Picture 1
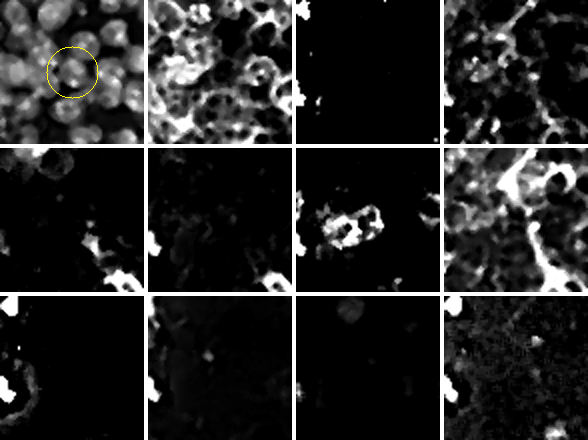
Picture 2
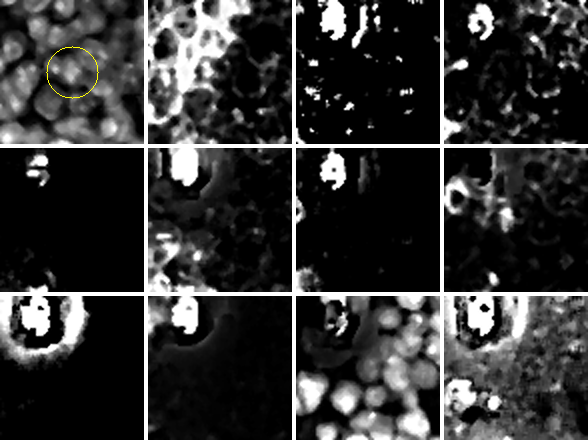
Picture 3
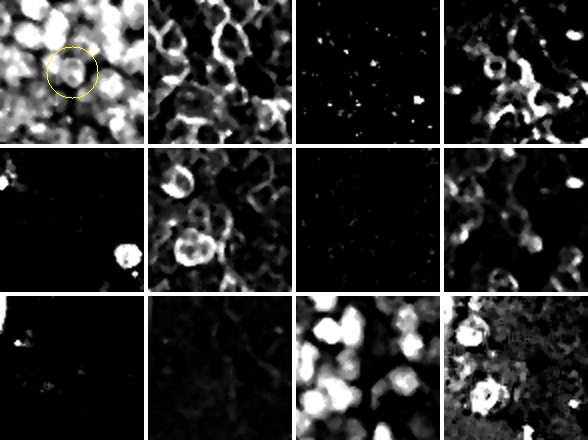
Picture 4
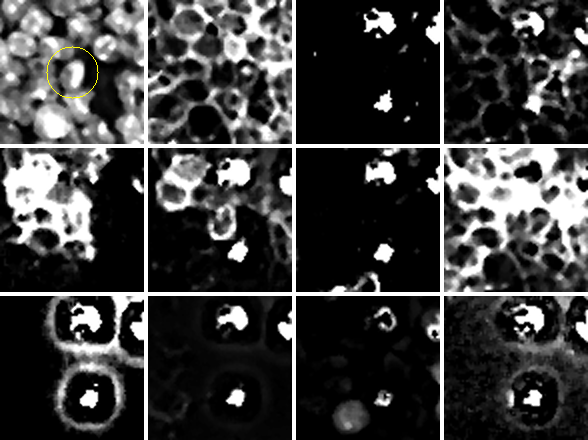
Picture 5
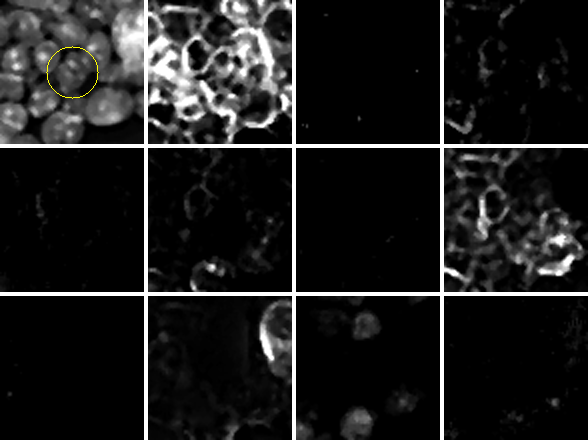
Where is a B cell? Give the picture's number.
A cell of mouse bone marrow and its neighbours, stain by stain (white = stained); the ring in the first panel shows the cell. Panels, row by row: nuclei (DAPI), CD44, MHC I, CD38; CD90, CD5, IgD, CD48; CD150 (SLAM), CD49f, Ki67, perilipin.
1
